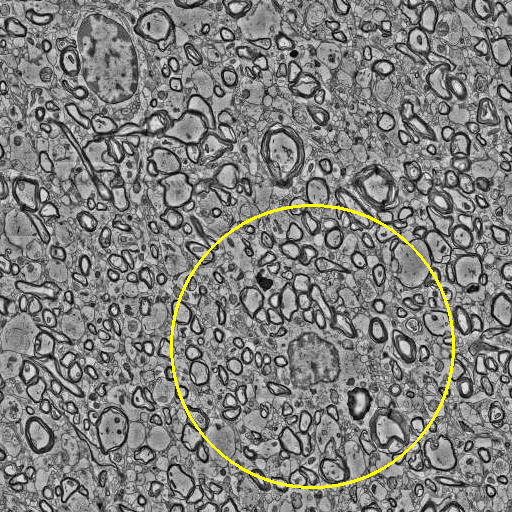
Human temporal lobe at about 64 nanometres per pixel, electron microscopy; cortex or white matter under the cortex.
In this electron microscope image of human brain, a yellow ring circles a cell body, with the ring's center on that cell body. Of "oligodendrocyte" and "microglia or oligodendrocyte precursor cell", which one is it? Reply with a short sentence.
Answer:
It is an oligodendrocyte at the center of the ring.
